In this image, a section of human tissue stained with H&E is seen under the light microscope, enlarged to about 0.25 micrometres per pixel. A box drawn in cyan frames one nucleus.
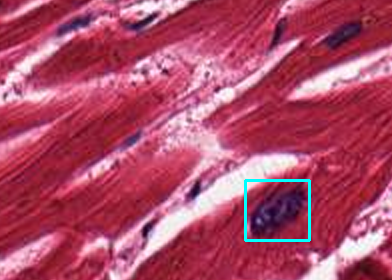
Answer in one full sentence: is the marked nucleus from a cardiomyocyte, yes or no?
Yes, the marked nucleus is held by a cardiomyocyte.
